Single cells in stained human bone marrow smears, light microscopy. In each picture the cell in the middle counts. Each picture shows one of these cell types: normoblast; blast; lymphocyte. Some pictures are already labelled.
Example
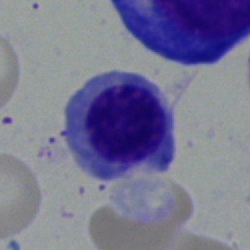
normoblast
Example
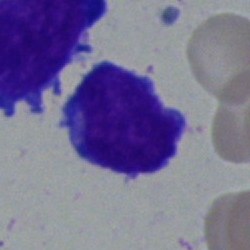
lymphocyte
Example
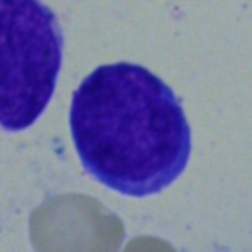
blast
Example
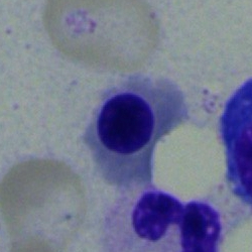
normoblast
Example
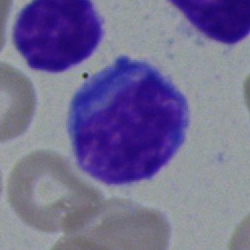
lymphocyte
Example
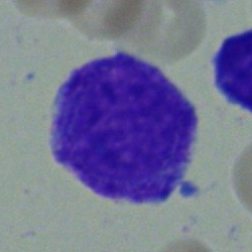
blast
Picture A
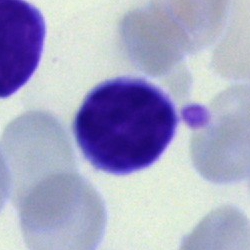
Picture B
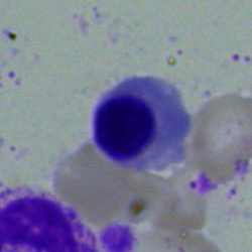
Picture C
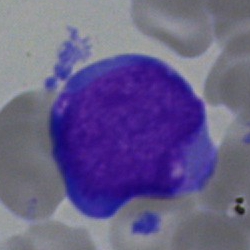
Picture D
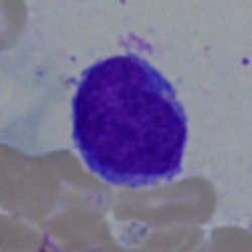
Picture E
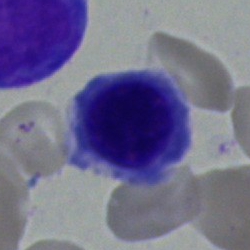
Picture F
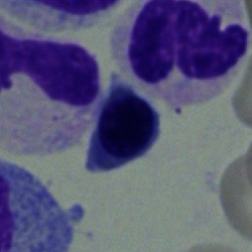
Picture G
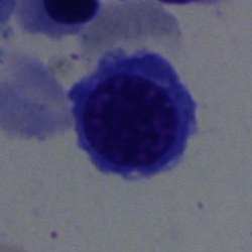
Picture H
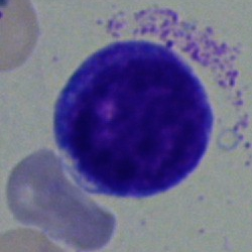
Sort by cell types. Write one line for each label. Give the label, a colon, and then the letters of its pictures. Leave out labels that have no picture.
normoblast: B, E, F, G
blast: C, D, H
lymphocyte: A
